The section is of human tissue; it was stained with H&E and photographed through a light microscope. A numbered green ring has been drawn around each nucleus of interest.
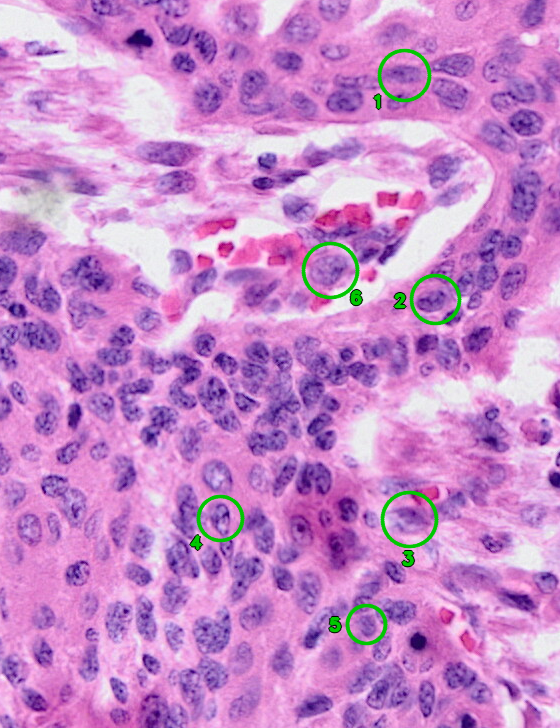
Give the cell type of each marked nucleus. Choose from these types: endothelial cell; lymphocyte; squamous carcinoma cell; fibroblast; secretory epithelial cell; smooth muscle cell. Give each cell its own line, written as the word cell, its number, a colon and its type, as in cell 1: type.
cell 1: squamous carcinoma cell
cell 2: squamous carcinoma cell
cell 3: endothelial cell
cell 4: squamous carcinoma cell
cell 5: squamous carcinoma cell
cell 6: endothelial cell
